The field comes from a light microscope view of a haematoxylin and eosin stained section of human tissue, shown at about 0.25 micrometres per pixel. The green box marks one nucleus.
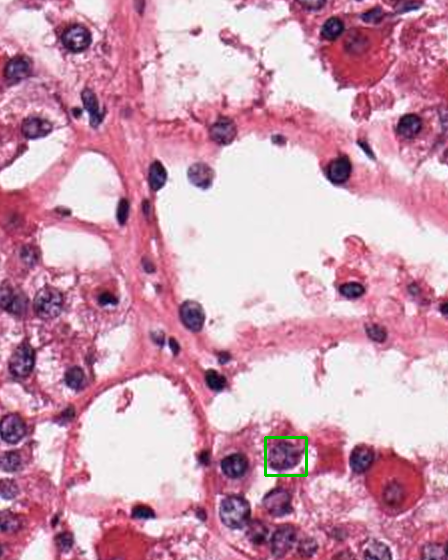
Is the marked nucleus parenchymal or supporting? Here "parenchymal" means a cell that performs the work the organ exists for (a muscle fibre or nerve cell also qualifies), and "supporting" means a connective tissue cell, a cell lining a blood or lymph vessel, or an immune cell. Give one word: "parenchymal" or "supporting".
parenchymal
